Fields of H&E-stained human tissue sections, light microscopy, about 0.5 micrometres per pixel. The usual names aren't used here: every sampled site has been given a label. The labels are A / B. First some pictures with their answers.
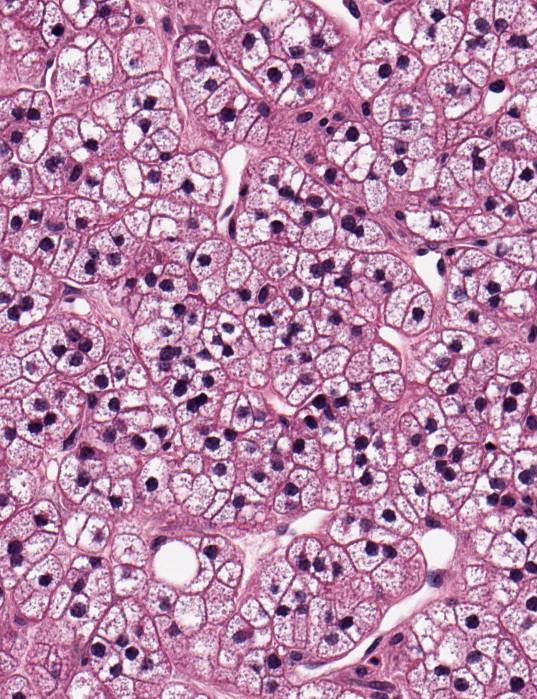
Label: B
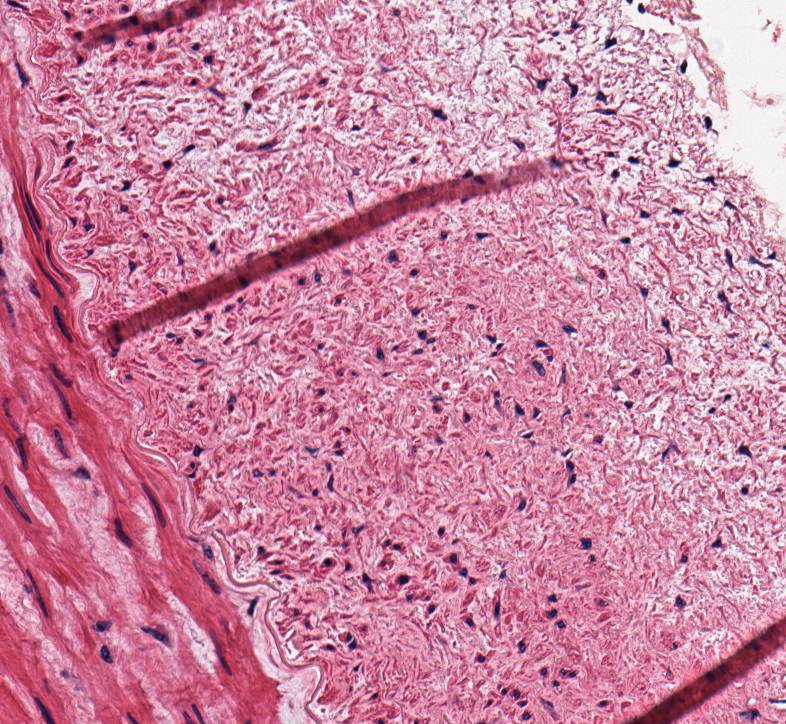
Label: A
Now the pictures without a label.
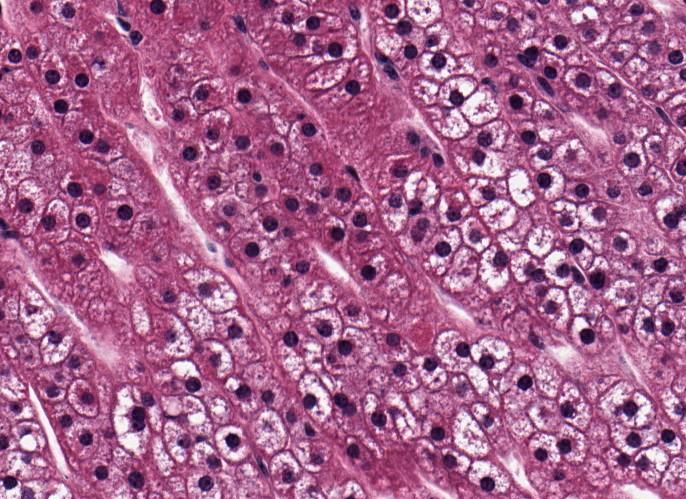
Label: B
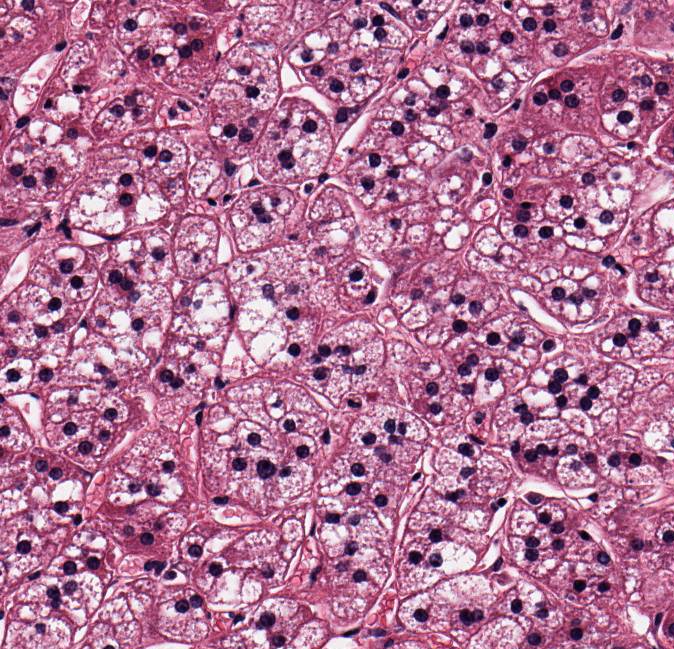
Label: B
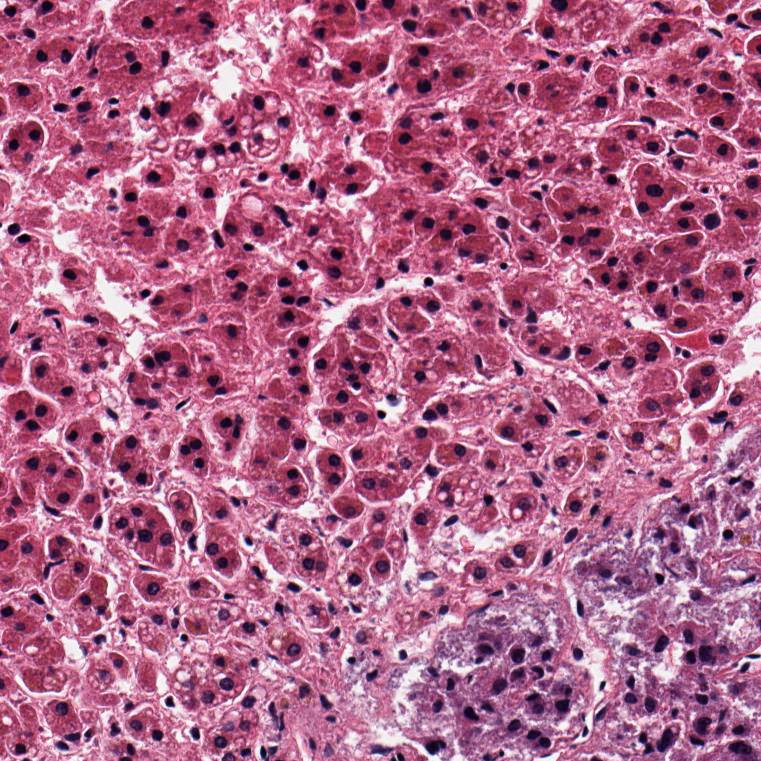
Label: B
